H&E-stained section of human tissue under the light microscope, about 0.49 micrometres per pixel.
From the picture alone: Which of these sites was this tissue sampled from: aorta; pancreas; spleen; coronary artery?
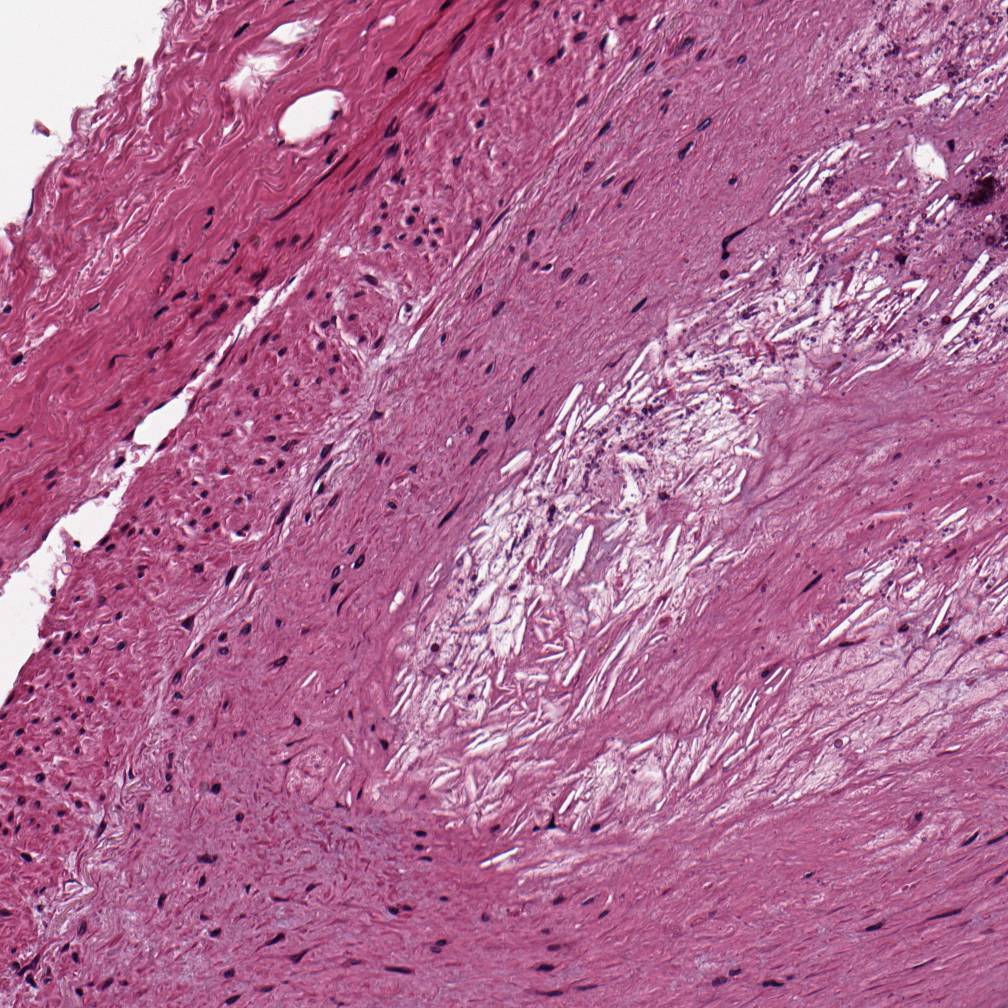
coronary artery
